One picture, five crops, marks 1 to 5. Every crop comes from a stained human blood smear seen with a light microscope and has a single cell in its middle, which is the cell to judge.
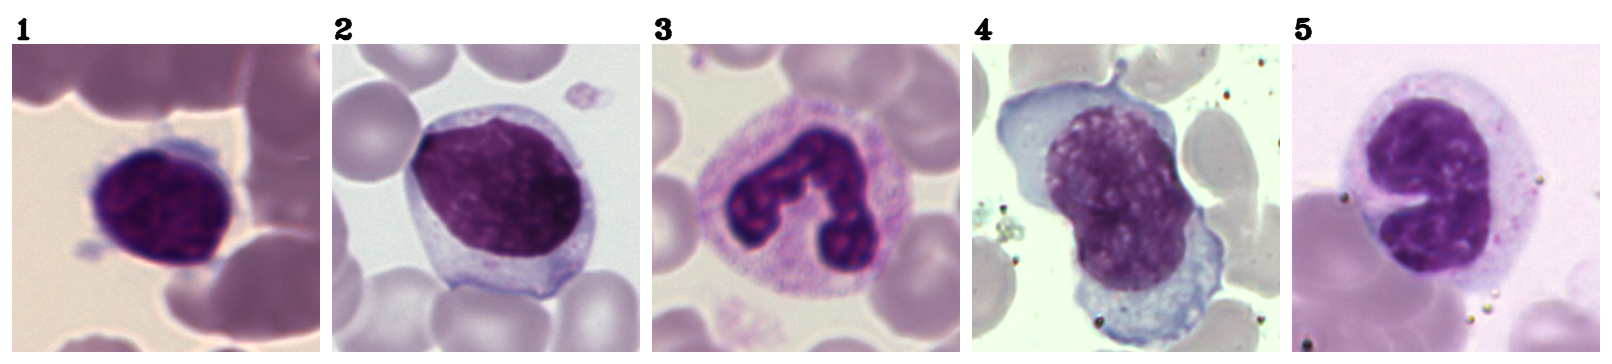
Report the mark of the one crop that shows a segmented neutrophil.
3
